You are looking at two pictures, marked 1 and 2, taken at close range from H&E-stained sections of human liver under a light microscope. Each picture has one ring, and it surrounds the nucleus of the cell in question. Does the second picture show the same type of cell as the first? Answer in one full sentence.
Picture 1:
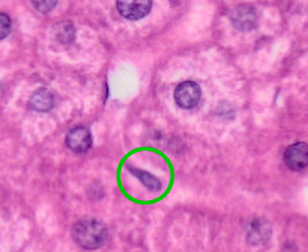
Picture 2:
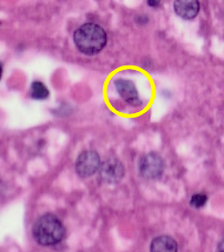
Yes, both cells are Kupffer cells.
